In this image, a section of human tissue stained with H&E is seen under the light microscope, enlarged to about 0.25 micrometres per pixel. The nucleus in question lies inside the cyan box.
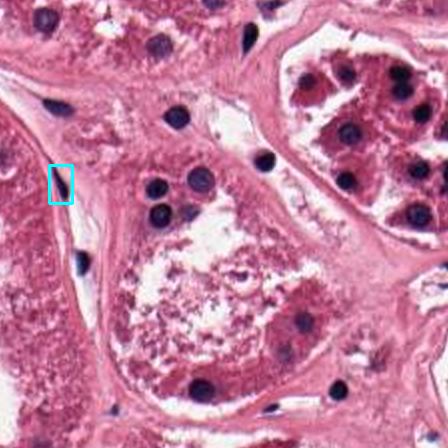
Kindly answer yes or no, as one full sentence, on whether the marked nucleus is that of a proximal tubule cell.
No, the marked nucleus is attributed to a supporting cell, not to a proximal tubule cell.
